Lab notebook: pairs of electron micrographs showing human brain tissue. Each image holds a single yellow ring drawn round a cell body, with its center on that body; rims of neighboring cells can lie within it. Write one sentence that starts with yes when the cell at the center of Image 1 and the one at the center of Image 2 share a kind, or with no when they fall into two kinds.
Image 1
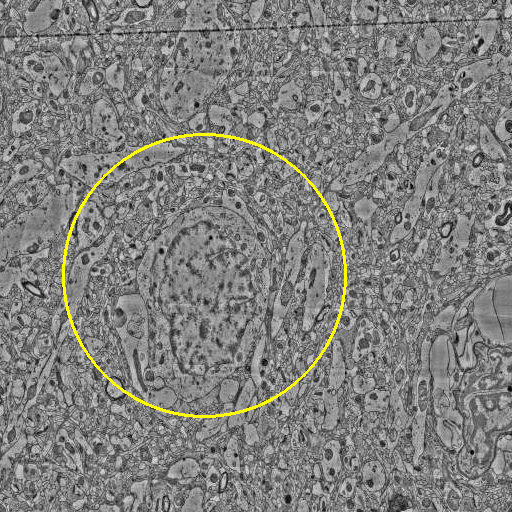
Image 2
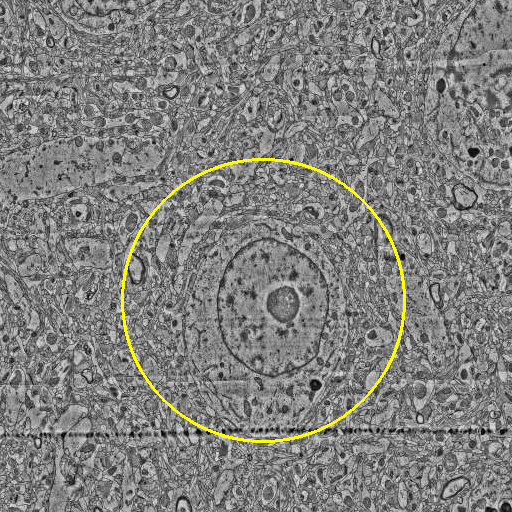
No, the centered cell in Image 1 and the centered cell in Image 2 are of two kinds.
